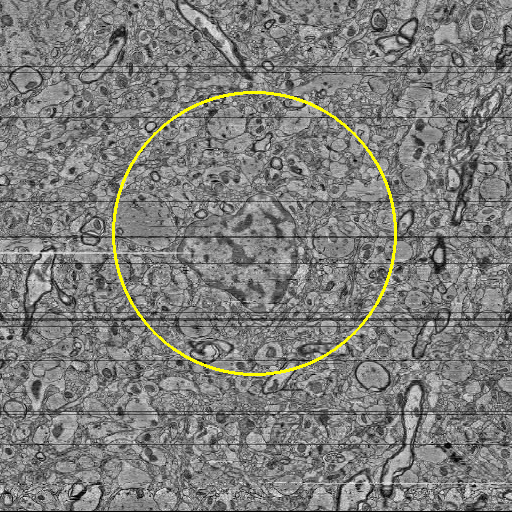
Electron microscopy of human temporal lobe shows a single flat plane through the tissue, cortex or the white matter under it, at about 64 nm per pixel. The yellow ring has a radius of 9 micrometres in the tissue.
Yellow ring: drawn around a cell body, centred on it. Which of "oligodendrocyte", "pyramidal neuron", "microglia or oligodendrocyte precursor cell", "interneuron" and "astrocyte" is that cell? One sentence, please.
That cell body is from a microglial cell or oligodendrocyte precursor cell.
